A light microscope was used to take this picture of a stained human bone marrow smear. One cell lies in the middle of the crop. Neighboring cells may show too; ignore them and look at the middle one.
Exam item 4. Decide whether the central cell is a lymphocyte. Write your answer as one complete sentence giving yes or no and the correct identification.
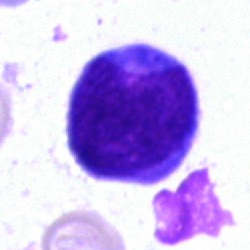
No, the cell placed at the center is a blast rather than a lymphocyte.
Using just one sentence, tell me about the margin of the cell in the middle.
The border of this cell runs smooth and free of any projections.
